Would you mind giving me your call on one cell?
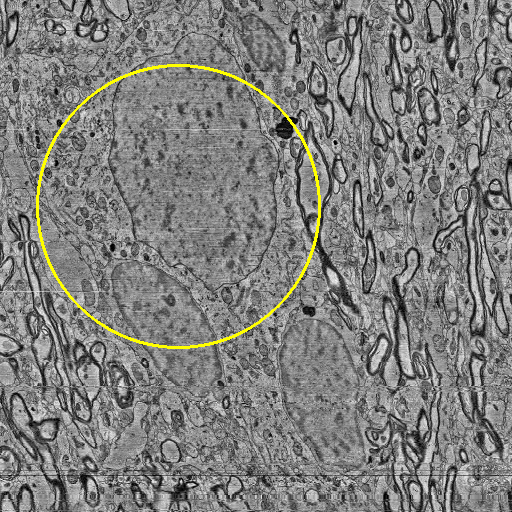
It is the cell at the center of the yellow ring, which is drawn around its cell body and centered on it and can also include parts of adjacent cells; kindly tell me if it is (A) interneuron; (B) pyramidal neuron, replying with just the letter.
B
